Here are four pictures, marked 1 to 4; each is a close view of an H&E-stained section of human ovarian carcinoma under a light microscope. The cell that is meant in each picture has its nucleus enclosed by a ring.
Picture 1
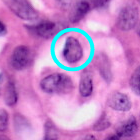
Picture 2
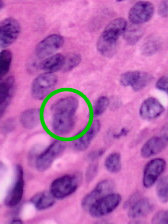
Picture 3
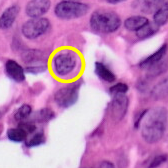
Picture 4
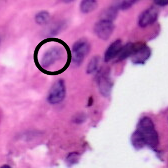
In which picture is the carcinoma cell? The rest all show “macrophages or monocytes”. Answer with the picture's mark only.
2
